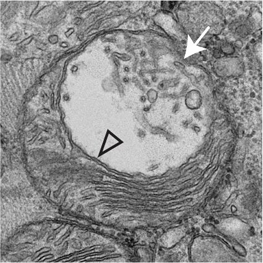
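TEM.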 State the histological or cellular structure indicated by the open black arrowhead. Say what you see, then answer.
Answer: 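The arrowhead sits on the line dividing the pale region from the region with stacked cristae.
Conclusion: the junction between electrolucent and normal portions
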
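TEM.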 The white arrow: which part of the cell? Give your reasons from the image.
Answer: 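The lower part of the same mitochondrion has dense stacked cristae. So: electrolucent part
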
